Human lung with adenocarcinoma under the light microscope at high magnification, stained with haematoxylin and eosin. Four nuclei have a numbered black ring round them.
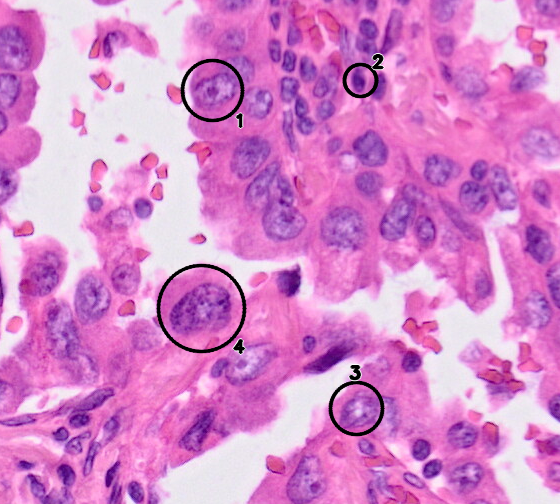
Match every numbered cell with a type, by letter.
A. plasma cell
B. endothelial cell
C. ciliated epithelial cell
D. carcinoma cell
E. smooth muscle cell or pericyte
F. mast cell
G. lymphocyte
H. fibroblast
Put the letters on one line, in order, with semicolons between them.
D; G; D; D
